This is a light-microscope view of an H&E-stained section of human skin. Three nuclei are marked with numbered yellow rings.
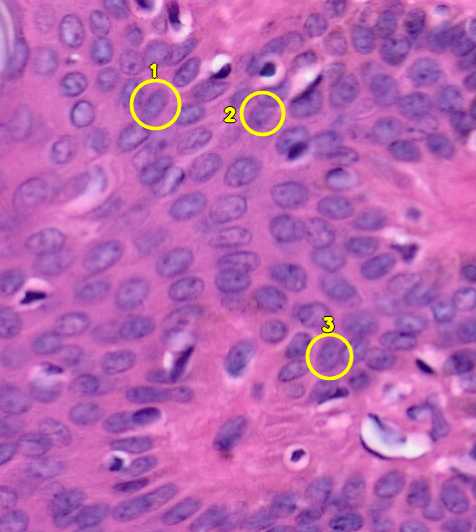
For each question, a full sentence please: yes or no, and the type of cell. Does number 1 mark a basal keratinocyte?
No, cell 1 should be read as a suprabasal keratinocyte instead of a basal keratinocyte.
